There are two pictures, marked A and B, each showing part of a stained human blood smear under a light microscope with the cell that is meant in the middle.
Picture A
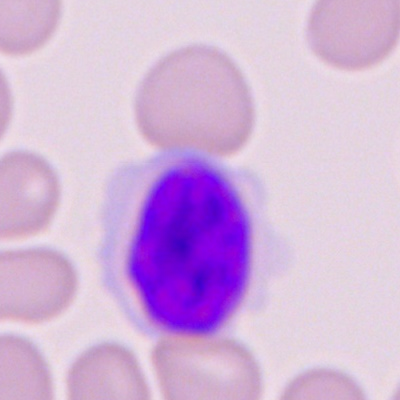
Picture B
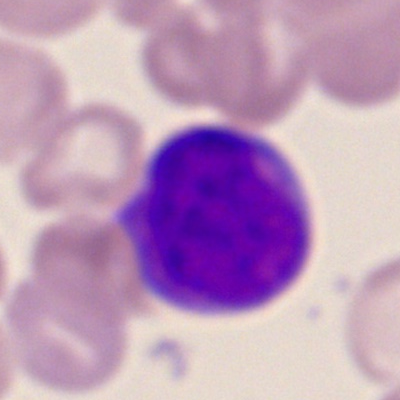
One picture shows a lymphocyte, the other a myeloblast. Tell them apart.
A: lymphocyte
B: myeloblast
